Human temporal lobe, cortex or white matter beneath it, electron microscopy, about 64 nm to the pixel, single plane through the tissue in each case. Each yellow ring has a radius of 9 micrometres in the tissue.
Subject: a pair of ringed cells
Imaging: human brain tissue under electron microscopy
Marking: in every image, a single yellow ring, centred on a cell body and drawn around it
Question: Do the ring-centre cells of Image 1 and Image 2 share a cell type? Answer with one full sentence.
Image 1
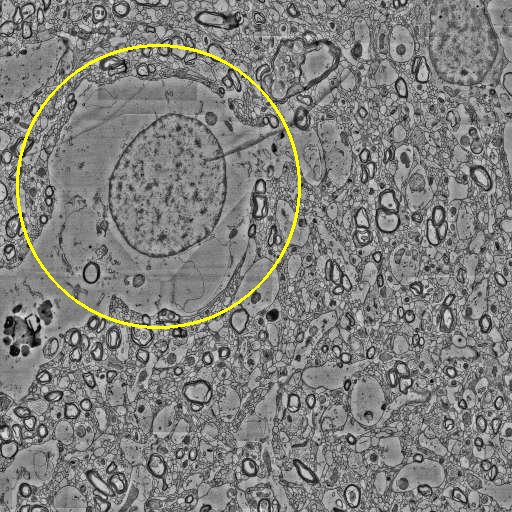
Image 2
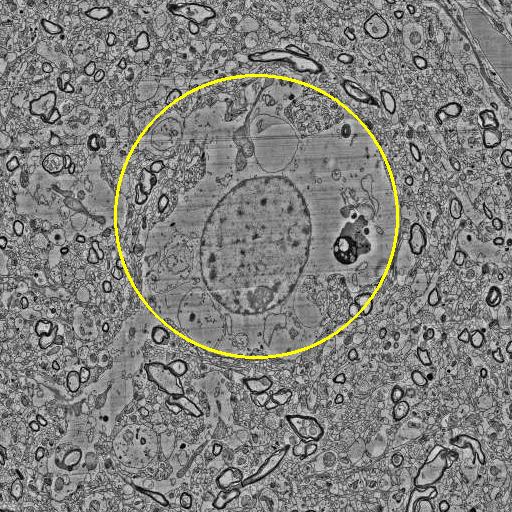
Yes, at each ring's centre in the images sits a cell of one common type.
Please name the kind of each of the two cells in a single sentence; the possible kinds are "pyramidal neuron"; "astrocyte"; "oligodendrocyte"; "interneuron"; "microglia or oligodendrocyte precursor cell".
Each of the two rings is centred on an astrocyte.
